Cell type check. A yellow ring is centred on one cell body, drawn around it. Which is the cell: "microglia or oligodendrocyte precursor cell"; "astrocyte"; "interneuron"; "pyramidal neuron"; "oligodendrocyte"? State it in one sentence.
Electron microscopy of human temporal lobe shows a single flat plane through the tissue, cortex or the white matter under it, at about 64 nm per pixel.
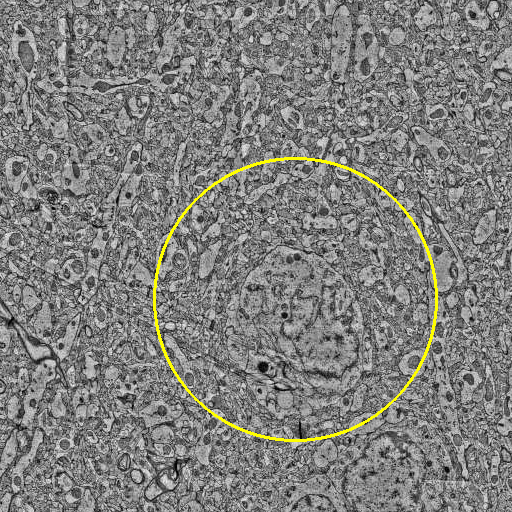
The cell body at the ring's centre belongs to an interneuron.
